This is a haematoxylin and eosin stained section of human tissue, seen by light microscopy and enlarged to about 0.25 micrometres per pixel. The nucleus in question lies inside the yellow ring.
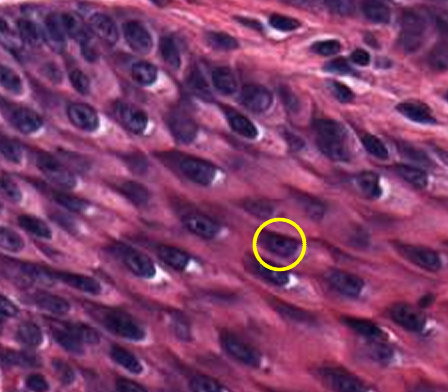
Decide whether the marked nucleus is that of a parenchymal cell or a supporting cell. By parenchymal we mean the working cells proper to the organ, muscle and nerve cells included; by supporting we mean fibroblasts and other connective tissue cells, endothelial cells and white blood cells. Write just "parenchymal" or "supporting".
parenchymal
